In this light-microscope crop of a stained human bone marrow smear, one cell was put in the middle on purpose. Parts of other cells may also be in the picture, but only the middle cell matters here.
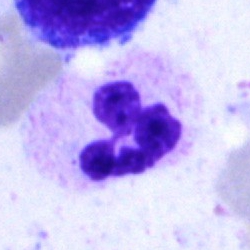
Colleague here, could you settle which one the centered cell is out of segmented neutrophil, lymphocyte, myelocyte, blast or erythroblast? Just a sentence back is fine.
In this smear crop, the middle cell is a segmented neutrophil.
